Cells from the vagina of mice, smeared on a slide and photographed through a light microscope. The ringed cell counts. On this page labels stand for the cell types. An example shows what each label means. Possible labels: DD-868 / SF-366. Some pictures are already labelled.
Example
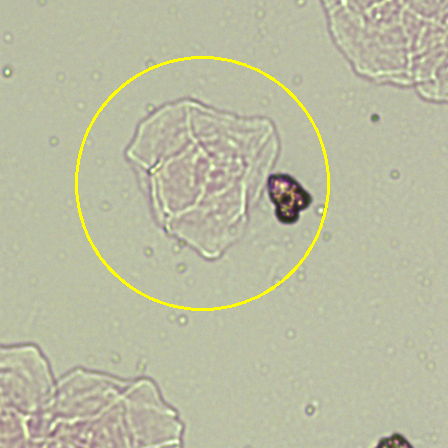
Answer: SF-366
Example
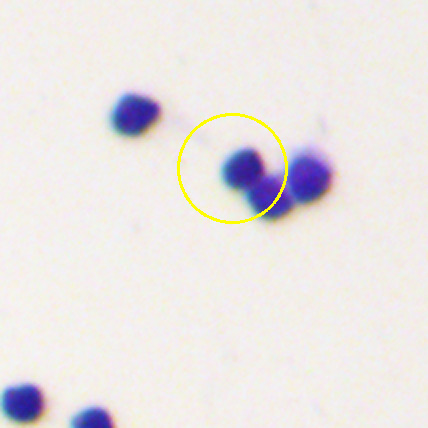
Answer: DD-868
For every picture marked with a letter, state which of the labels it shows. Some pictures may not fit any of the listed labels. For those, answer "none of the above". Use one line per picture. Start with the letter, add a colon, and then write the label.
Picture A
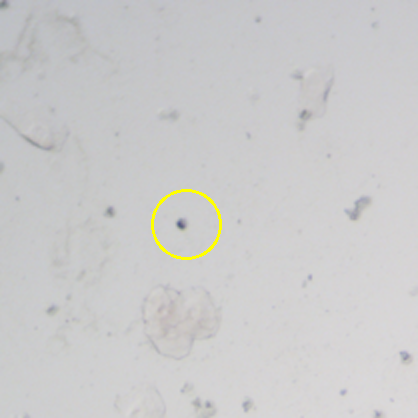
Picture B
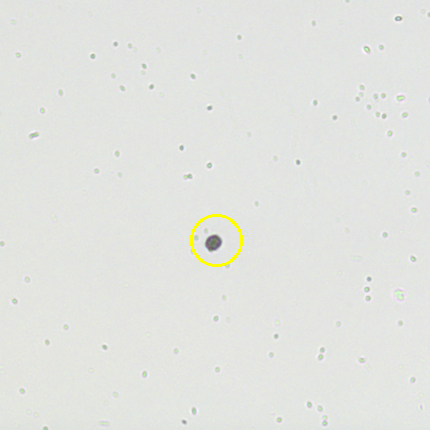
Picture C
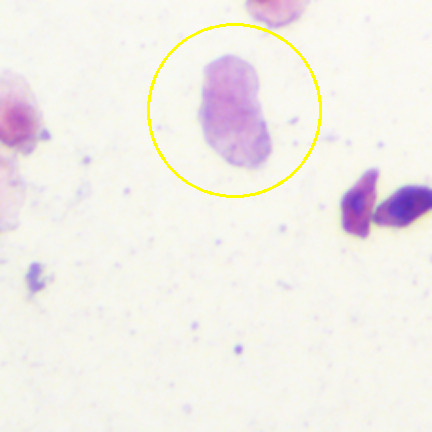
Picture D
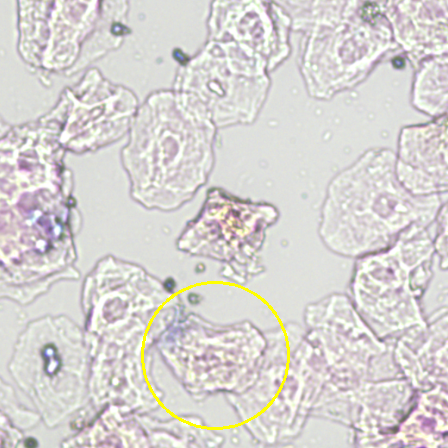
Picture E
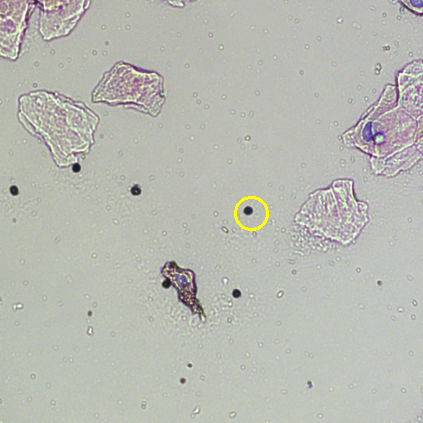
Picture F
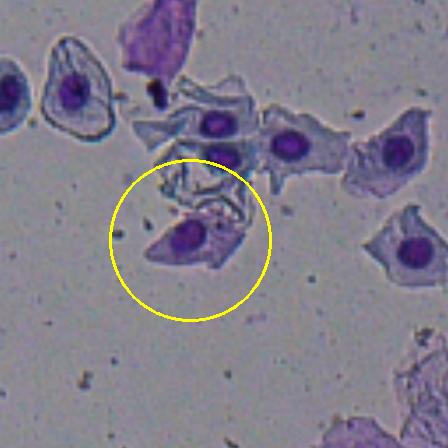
A: DD-868
B: DD-868
C: SF-366
D: SF-366
E: DD-868
F: none of the above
